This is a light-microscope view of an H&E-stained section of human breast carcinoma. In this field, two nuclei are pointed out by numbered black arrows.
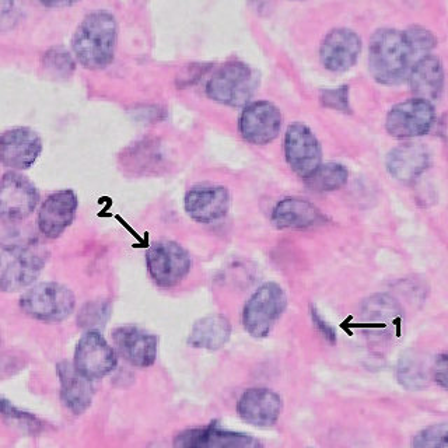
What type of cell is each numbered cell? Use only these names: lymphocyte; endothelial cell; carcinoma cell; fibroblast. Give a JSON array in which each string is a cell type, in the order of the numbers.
["fibroblast", "carcinoma cell"]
